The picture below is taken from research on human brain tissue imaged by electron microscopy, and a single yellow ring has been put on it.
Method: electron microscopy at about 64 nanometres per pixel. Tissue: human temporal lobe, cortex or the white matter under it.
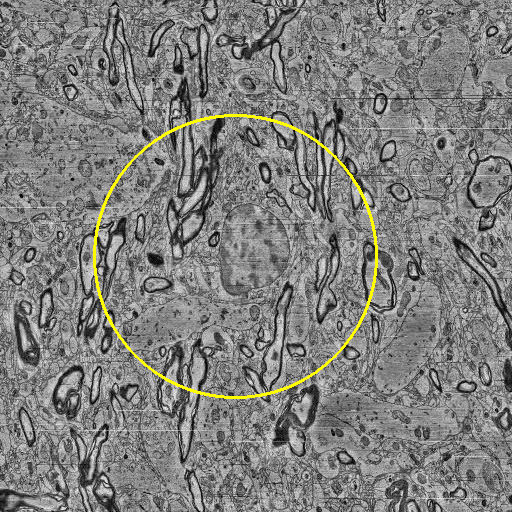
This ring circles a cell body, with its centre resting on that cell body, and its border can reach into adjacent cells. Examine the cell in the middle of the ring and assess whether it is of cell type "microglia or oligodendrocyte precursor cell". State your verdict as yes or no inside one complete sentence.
Yes, in the picture, the cell lying at the centre of the ring is of this type.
